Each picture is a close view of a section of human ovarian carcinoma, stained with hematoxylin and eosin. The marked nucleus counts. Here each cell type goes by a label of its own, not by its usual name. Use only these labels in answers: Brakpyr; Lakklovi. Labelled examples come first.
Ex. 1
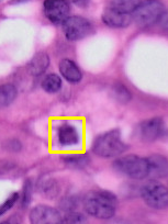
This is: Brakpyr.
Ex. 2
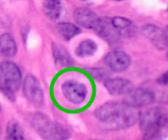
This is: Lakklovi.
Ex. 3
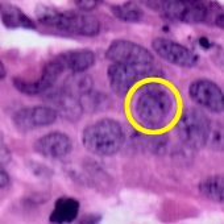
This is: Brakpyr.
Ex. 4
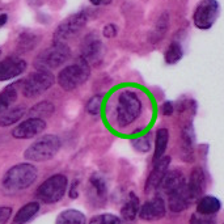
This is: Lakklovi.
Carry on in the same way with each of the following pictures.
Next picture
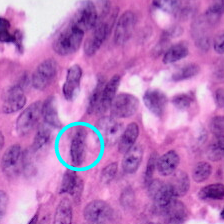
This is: Brakpyr.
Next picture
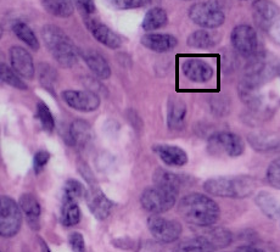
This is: Lakklovi.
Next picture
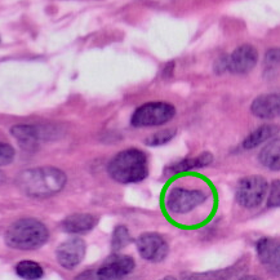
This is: Lakklovi.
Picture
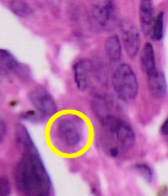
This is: Brakpyr.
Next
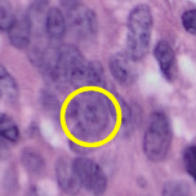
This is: Brakpyr.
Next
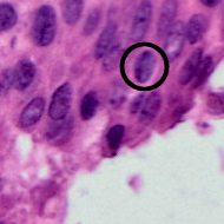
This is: Lakklovi.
